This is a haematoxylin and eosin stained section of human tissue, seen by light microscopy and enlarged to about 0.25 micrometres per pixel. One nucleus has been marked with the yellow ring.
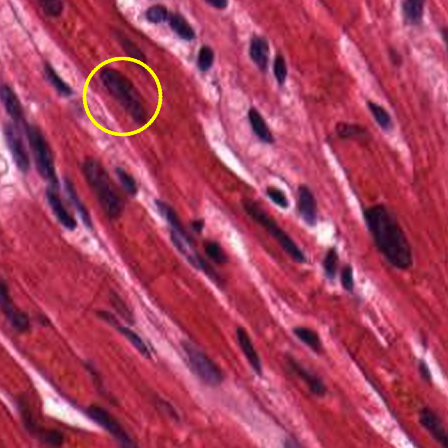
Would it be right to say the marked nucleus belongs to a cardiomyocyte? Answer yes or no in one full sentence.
Yes, to a cardiomyocyte belongs the marked nucleus.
